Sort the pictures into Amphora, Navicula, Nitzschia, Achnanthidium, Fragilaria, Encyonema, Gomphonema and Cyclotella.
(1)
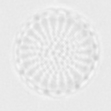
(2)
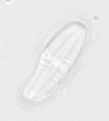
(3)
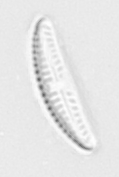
Cyclotella: 1
Achnanthidium: 2
Amphora: 3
